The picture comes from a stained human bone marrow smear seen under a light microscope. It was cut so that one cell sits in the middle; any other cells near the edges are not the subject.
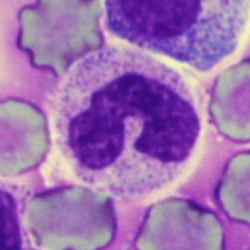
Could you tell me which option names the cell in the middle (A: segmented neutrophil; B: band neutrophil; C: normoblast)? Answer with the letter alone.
B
